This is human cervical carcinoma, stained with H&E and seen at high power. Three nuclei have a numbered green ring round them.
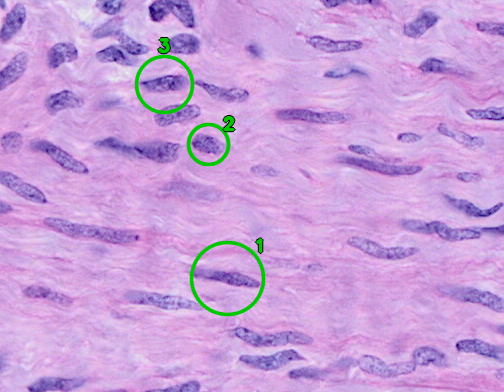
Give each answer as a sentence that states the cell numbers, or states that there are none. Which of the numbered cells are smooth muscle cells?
Among the numbered cells, the one that is a smooth muscle cell is cell 1 alone.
